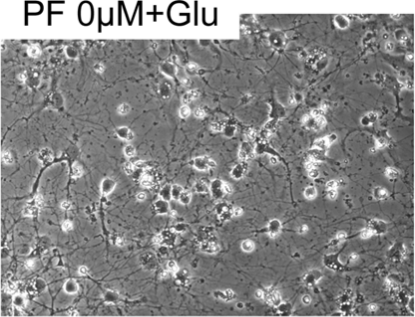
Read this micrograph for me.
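Cultured neurons seen by phase contrast, with many damaged cells. Numerous cell bodies are shrunken, small and rounded, often very phase-bright, and lie without clear processes. Granular, dark debris is scattered across the field, in places in clumps beside the cells. The network of processes is much thinner than in a healthy culture: remaining processes are few, short or broken, some appearing beaded. A minority of cells keep a more spread outline with a few processes. Overall the field shows widespread shrinkage of somata and loss of the interconnecting meshwork.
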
